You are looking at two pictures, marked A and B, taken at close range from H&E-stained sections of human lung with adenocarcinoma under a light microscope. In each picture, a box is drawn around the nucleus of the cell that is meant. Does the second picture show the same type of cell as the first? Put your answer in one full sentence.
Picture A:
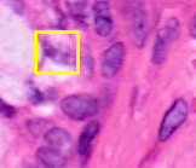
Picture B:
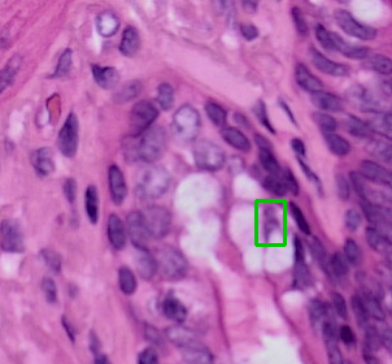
Yes, the two pictures both show ciliated epithelial cells.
